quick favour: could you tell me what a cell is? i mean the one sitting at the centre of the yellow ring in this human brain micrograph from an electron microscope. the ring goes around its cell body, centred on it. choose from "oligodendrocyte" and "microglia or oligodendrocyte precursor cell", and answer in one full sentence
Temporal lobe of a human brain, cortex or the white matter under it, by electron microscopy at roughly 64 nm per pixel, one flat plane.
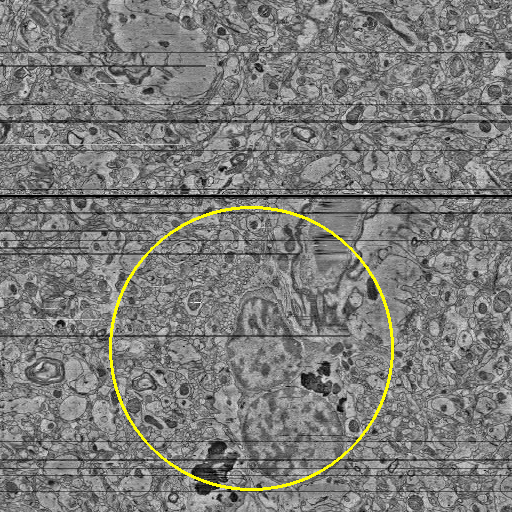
That's an oligodendrocyte, the cell sitting at the centre of the yellow ring.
